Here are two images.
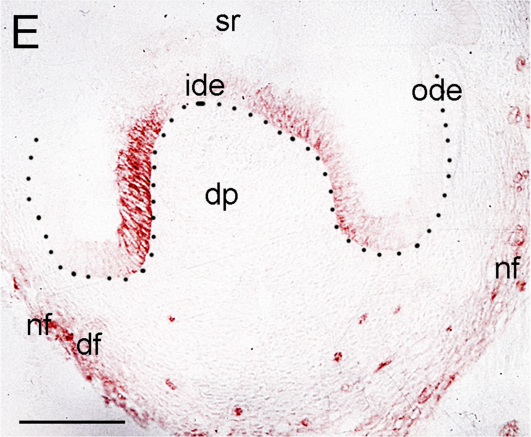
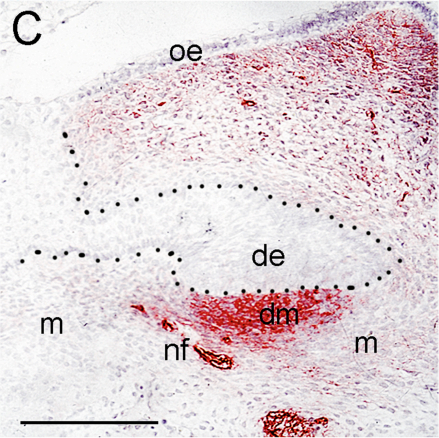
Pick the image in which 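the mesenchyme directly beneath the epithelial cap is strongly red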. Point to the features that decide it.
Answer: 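The second image. First image: the mesenchyme enclosed by the epithelial cap is pale, with red mostly at the periphery and in the epithelial lining. Second image: a dense red patch fills the mesenchyme just beneath the epithelium.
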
